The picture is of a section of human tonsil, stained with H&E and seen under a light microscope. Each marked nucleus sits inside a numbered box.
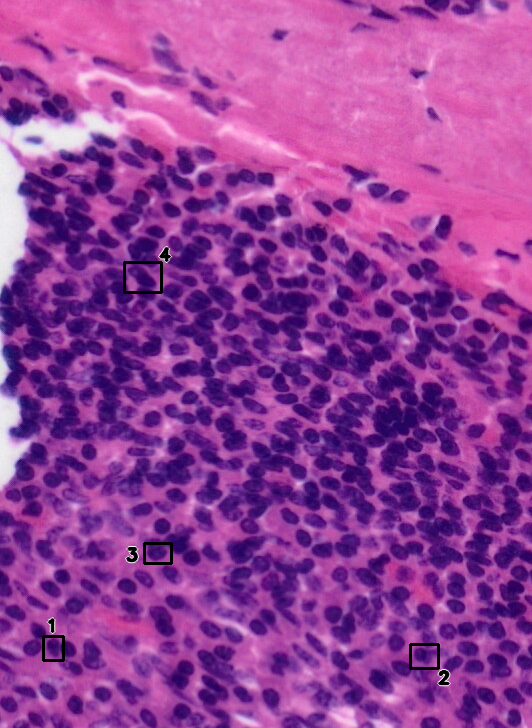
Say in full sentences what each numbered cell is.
Cells 1, 2 and 3 are plasma cells. Cell 4 is a small lymphocyte.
